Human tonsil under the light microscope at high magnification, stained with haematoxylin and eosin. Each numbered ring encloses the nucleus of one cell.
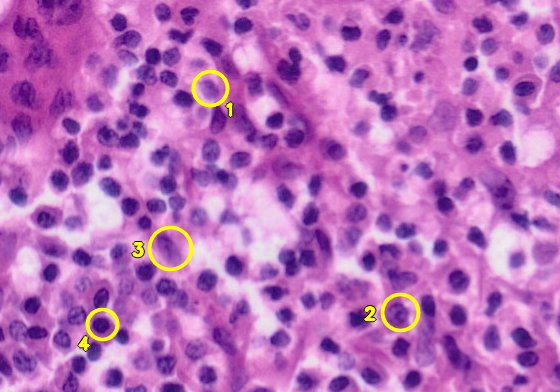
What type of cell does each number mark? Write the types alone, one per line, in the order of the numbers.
squamous epithelial cell
plasma cell
squamous epithelial cell
plasma cell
